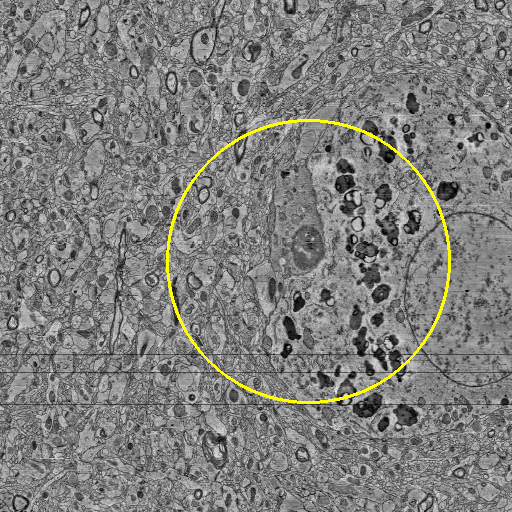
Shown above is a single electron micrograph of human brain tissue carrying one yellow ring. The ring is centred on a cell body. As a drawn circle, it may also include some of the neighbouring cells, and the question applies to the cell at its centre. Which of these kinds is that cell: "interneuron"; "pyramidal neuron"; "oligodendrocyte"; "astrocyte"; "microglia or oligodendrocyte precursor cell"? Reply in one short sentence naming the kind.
The cell marked by the ring is an oligodendrocyte.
